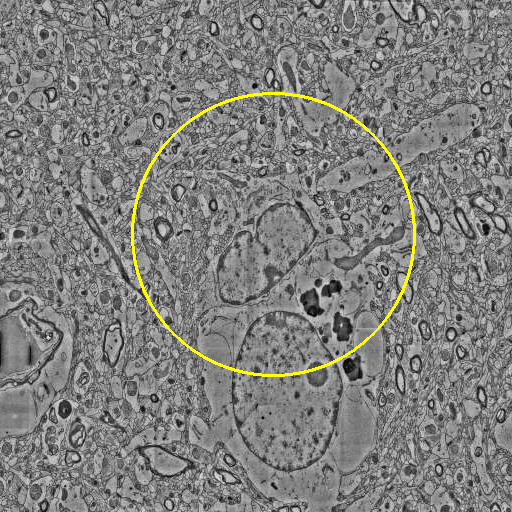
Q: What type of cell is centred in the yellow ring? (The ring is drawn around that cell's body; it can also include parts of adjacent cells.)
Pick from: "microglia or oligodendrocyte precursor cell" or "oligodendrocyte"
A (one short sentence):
The yellow ring is centred on a microglial cell or oligodendrocyte precursor cell.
